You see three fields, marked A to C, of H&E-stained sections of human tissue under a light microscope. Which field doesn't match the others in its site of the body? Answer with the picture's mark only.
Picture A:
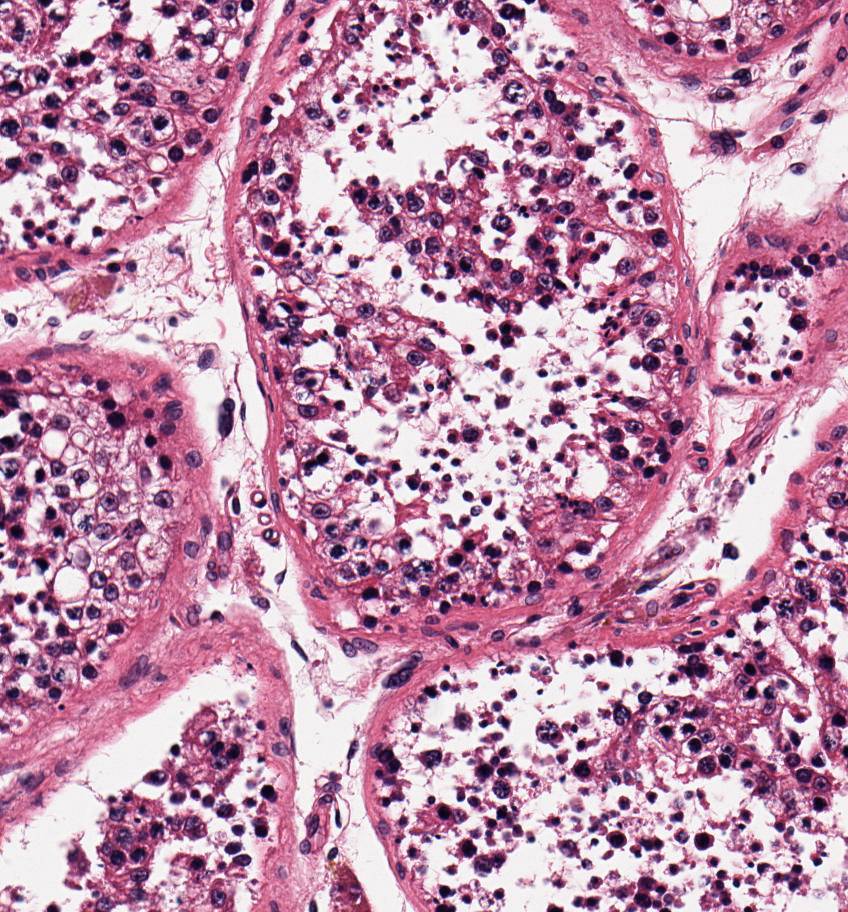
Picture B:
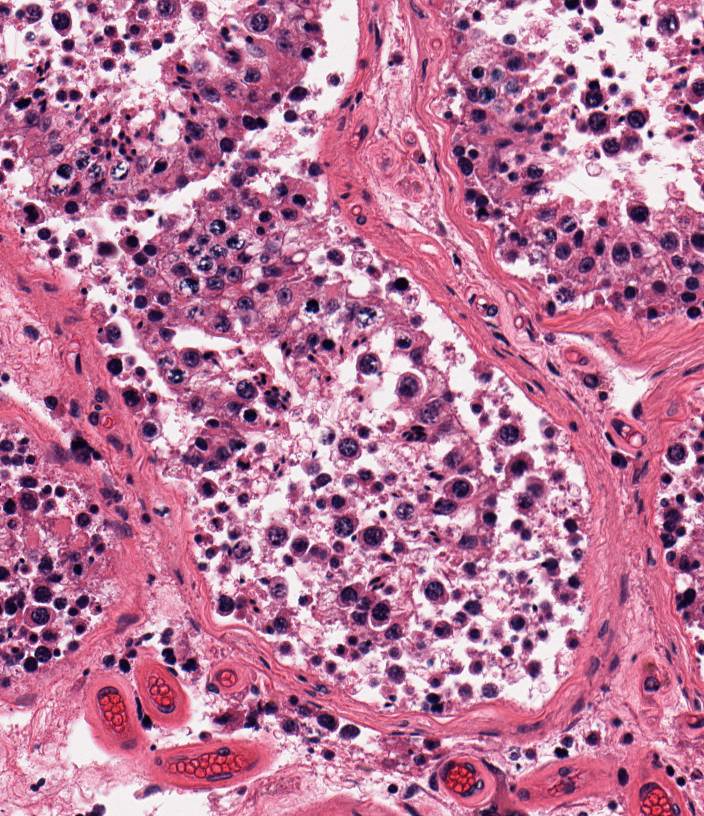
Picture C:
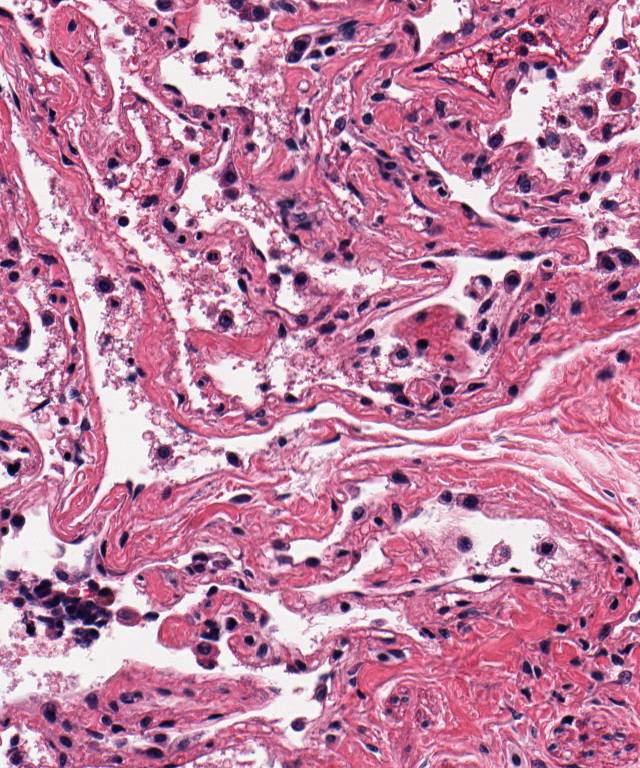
C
